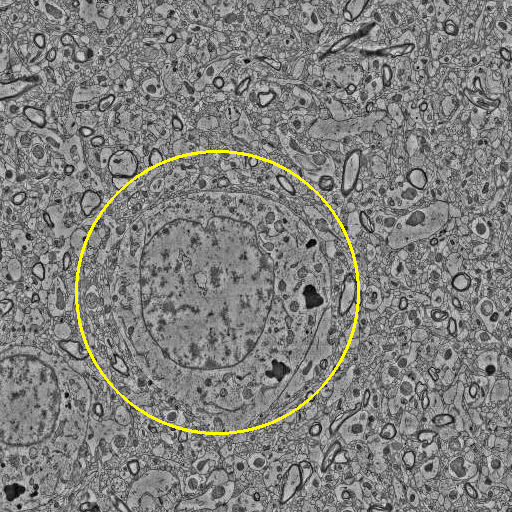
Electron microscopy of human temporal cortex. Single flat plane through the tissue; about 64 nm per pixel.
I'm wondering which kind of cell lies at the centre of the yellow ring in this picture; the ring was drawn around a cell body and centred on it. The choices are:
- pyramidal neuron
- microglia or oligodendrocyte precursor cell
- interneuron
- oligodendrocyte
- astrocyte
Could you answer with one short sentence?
At the centre of the ring lies a pyramidal neuron.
